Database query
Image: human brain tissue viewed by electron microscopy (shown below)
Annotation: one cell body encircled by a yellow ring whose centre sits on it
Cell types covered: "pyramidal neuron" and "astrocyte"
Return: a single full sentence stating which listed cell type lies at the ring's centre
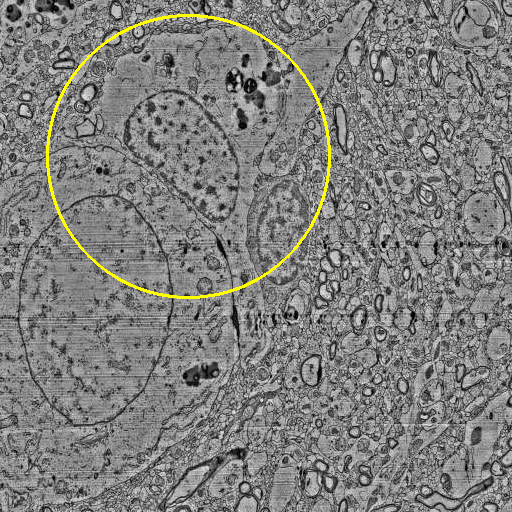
In the image, the cell lying at the ring's centre is an astrocyte.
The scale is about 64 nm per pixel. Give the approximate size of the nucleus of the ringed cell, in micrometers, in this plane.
Roughly 9 by 6 micrometres in this plane, for the nucleus of the ringed cell.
